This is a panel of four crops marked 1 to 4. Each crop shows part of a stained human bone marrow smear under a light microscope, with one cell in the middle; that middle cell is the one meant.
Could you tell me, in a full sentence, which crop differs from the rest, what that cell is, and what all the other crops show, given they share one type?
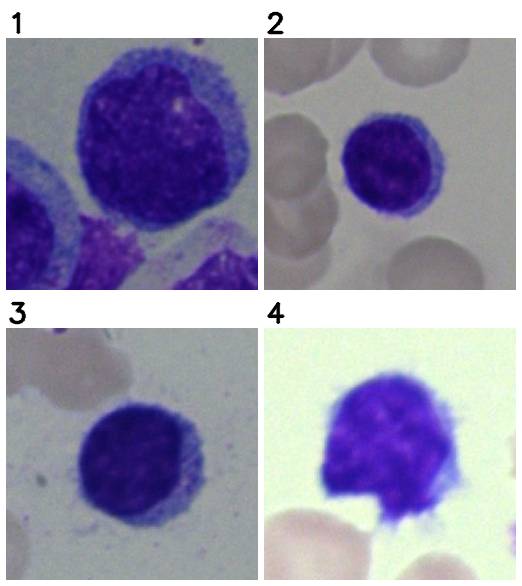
Here the outlier is crop 1, which is a monocyte, and the rest are lymphocytes.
